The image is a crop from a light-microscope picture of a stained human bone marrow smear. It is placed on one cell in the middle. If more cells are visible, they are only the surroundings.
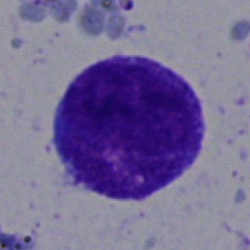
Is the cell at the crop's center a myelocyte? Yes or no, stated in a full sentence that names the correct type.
No, the middle cell is classified as a promyelocyte instead of a myelocyte.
